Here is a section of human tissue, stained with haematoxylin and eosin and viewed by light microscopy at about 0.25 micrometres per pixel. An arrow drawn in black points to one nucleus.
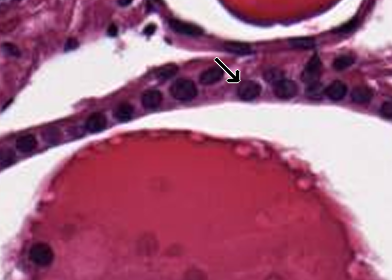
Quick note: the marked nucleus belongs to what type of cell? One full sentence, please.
Here the marked nucleus belongs to a thyroid follicular cell.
